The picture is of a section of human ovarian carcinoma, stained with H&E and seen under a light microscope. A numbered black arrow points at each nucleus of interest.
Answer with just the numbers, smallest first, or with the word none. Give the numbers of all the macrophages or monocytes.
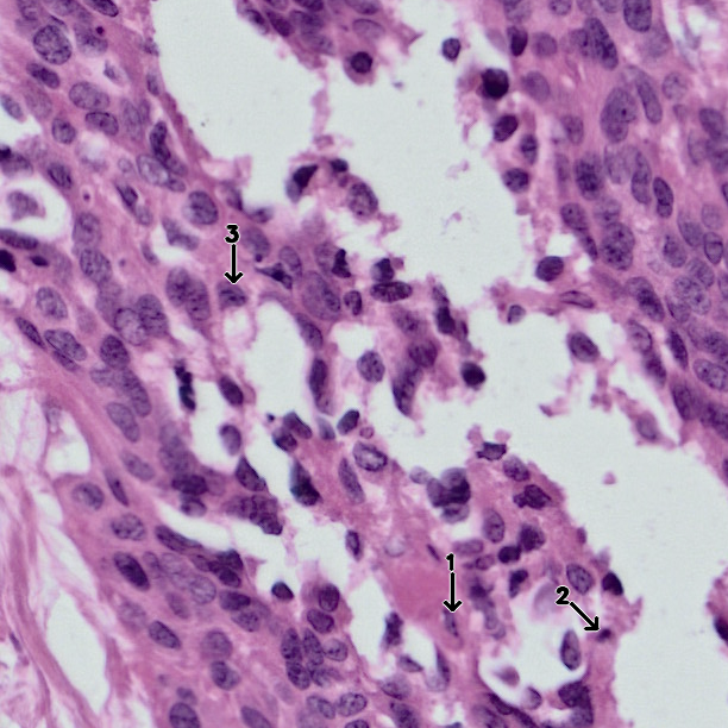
2, 3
